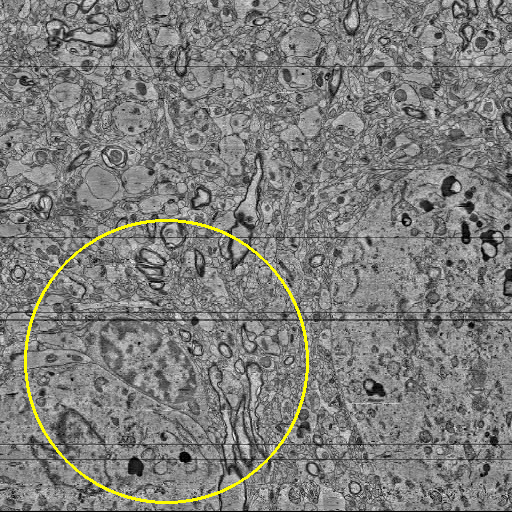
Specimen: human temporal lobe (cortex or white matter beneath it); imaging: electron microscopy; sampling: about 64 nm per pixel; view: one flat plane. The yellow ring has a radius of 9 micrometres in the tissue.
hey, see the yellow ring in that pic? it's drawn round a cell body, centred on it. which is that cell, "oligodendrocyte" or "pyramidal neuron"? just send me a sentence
The cell in the ring is an oligodendrocyte.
